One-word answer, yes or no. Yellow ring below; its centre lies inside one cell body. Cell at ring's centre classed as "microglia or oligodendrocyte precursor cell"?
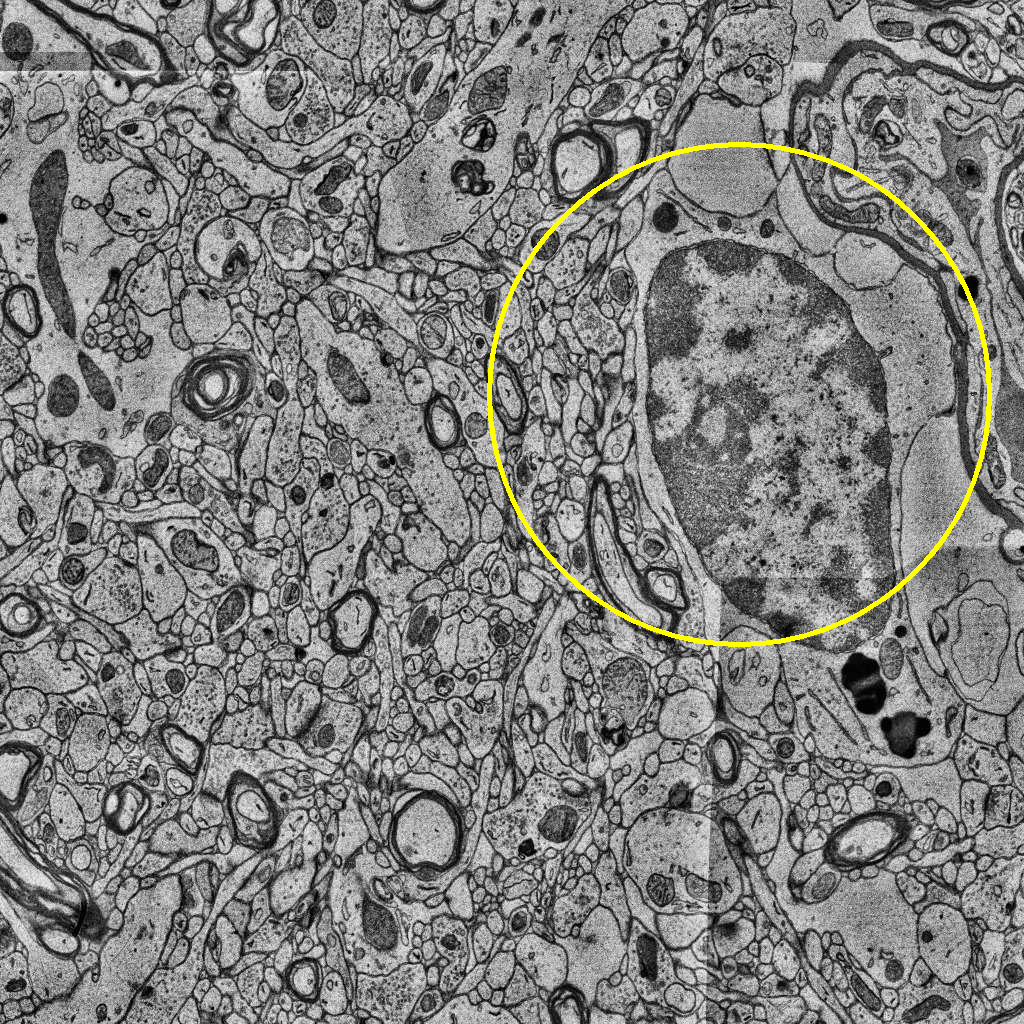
yes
